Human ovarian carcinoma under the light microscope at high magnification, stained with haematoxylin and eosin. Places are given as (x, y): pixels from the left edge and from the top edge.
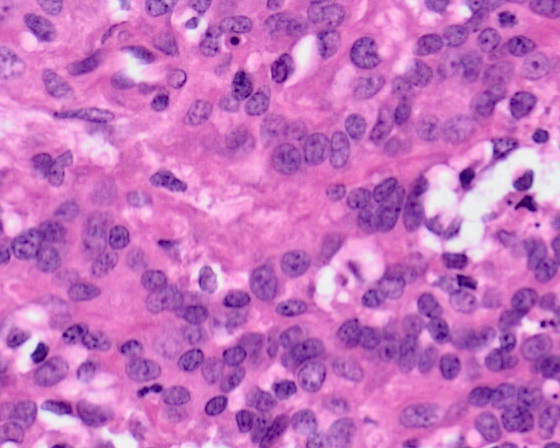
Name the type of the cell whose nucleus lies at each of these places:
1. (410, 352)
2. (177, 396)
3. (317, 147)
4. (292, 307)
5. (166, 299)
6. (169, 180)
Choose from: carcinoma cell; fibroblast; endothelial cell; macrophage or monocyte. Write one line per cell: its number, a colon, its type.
1: carcinoma cell
2: carcinoma cell
3: carcinoma cell
4: macrophage or monocyte
5: carcinoma cell
6: macrophage or monocyte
